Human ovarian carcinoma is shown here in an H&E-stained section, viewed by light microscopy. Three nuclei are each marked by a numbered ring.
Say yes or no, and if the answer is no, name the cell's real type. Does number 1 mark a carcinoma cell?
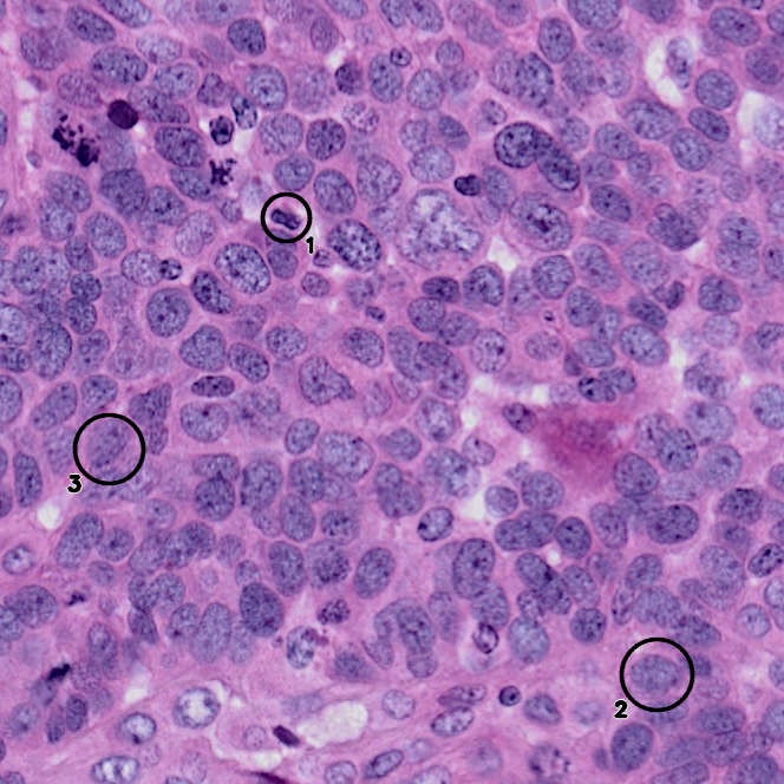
No, it is a lymphocyte.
